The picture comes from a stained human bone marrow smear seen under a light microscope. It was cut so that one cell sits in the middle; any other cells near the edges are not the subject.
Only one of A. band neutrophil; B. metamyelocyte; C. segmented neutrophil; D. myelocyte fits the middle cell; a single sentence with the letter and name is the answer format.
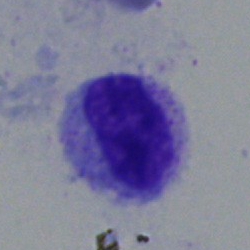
The cell placed in the middle is a metamyelocyte; option B is correct.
